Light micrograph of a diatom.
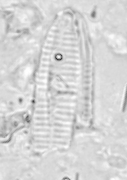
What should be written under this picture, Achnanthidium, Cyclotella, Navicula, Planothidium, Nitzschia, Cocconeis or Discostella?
Achnanthidium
